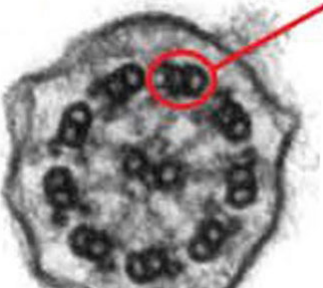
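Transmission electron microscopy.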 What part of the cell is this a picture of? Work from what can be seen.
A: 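A round profile bounded by a thin membrane. A ring of paired tubule profiles lies inside the membrane. Tubule profiles sit in the centre of the ring. So: cilium in cross section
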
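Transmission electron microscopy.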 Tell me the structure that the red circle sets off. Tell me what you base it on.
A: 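The red circle surrounds two ring-shaped tubule profiles joined side by side. It lies in the outer ring, just under the membrane.
Microtubular doublet.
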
